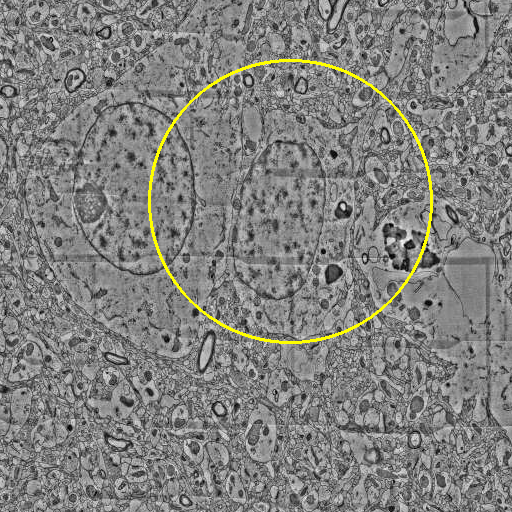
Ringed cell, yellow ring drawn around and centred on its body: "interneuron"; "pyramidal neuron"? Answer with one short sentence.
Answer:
This ringed cell is an interneuron.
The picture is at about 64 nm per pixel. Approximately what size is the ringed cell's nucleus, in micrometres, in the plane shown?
In this plane the nucleus is clearly longer than it is wide, at approximately 10 by 6 micrometres.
